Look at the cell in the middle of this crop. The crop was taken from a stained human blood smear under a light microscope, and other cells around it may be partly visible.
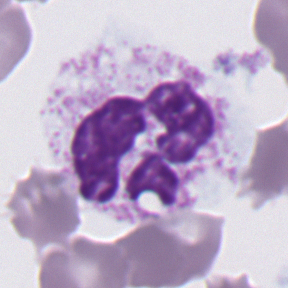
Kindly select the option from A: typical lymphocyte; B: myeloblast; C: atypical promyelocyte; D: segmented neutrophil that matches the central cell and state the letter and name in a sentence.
Located in the middle of the crop is a segmented neutrophil, and option D is therefore correct.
